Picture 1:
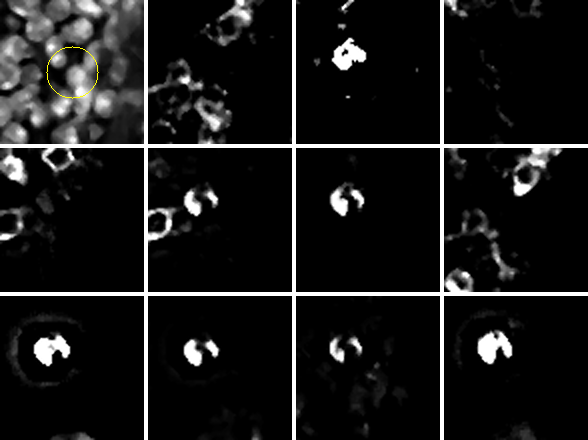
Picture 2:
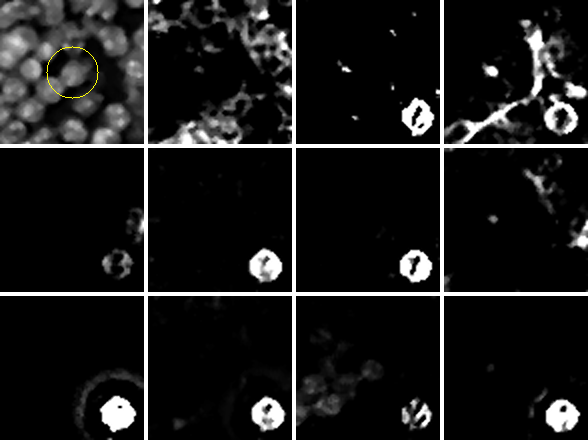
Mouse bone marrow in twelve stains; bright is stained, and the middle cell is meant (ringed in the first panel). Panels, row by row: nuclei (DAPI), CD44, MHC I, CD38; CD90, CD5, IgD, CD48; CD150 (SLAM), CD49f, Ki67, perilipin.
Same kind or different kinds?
Same: erythroblasts.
